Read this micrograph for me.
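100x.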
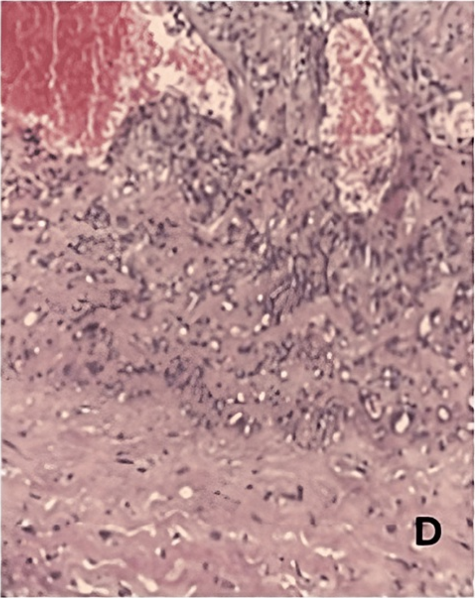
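This is inflamed connective tissue, crowded with the small dark nuclei of inflammatory cells. Across the middle of the field the round, deeply stained nuclei are packed densely, with little cytoplasm to be seen around each. Between them, and more clearly below, lies pink fibrous connective tissue in which elongated, spindle-shaped nuclei can be picked out. At the top, spaces filled with bright red blood cells mark blood vessels that are full of blood. Toward the bottom the tissue becomes paler and more fibrous, with fewer nuclei scattered through it.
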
